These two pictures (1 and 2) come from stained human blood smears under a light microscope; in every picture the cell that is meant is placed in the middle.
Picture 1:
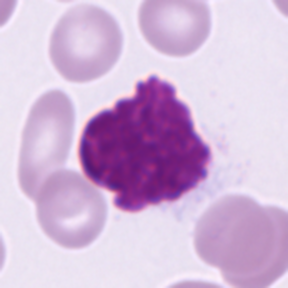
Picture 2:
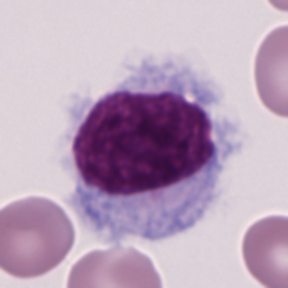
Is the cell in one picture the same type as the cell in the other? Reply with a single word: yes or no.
no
